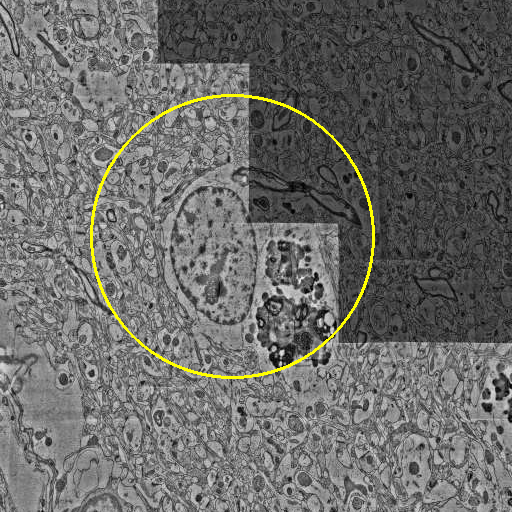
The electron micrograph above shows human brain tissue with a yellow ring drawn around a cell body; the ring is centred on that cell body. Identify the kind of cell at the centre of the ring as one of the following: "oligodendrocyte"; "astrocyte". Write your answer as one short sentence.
The cell at the centre of the ring is an astrocyte.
